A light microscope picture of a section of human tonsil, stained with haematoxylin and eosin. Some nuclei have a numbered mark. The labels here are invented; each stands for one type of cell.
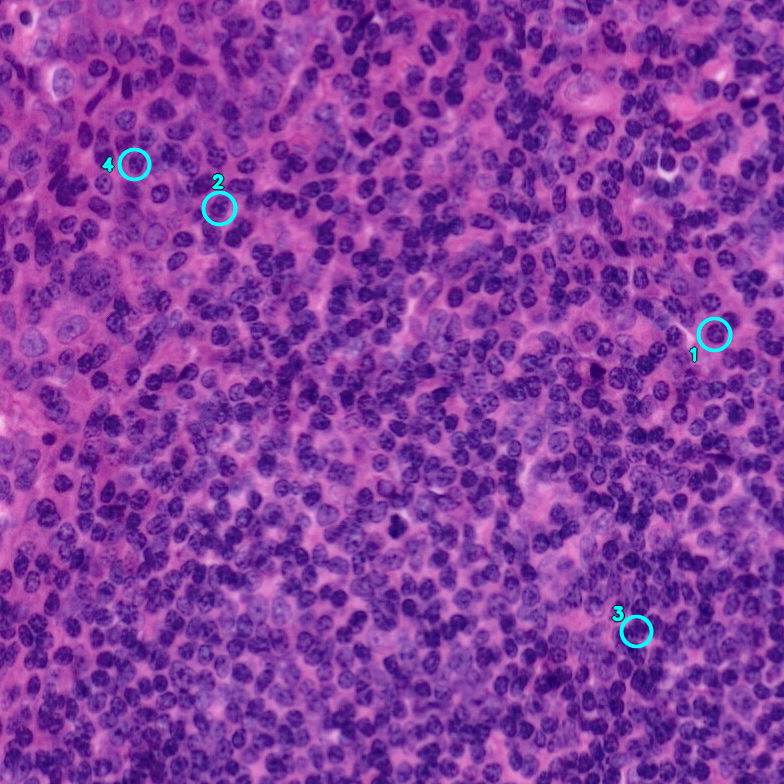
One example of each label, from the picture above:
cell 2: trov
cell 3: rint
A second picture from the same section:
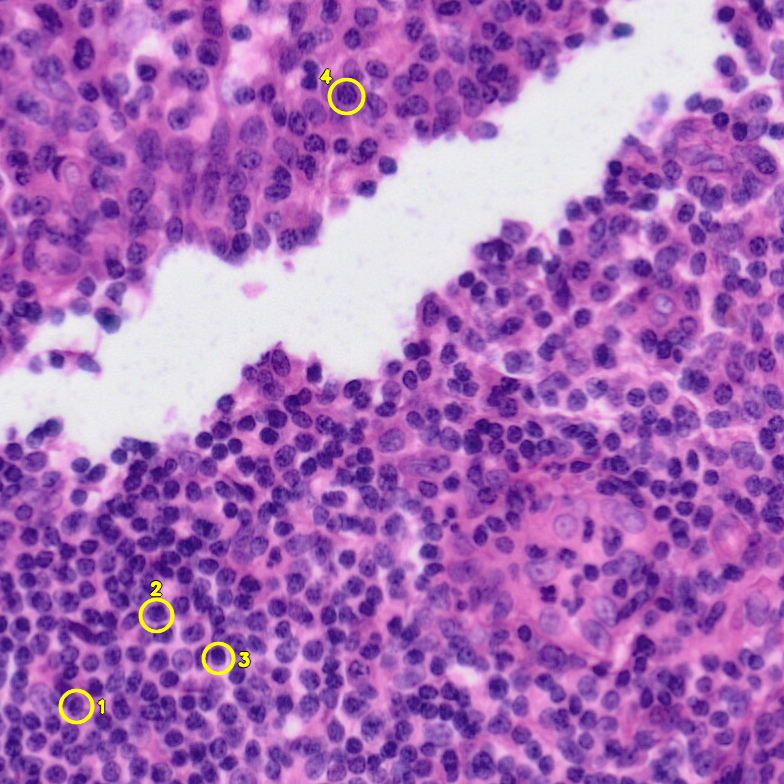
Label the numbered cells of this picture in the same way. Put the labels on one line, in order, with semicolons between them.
rint; rint; rint; trov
